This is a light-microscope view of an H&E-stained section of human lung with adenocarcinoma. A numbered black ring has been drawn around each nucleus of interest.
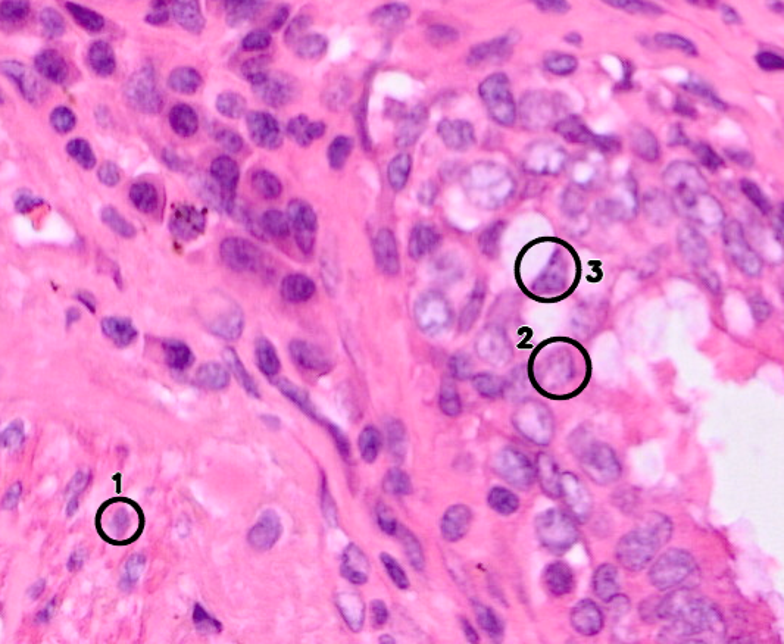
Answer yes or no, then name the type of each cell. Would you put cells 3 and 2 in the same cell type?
Yes, both are ciliated epithelial cells.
